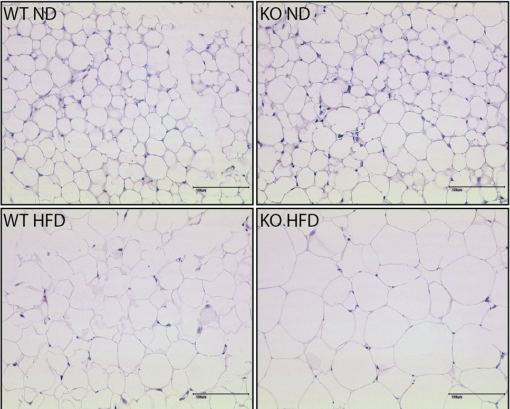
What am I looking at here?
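White adipose tissue of closely packed unilocular fat cells, each an empty-looking round to polygonal space bounded by a thin pale pink rim. Flattened dark purple nuclei lie sparsely at the cell margins. The cells in the lower images, most of all the lower right, are markedly larger than those above.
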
